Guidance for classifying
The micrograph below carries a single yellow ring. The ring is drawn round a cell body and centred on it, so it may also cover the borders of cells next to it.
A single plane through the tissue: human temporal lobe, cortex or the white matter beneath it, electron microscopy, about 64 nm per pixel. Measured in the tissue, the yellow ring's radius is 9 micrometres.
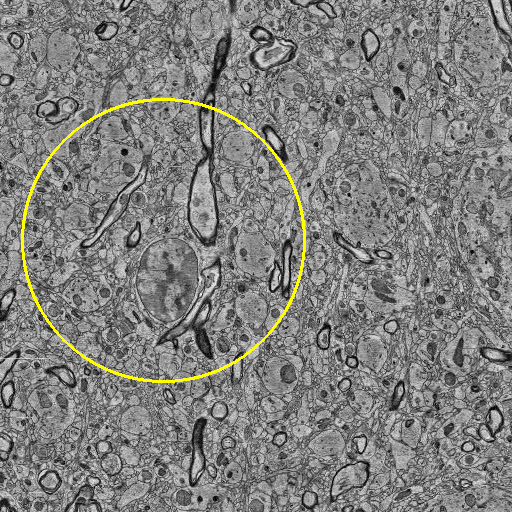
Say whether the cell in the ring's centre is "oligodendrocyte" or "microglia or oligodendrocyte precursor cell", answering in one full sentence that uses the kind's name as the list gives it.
Within the yellow ring, a microglial cell or oligodendrocyte precursor cell is the cell whose body sits at the centre.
